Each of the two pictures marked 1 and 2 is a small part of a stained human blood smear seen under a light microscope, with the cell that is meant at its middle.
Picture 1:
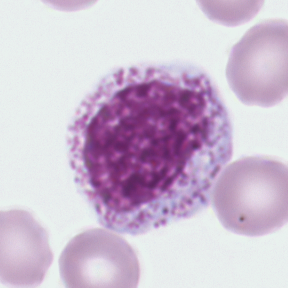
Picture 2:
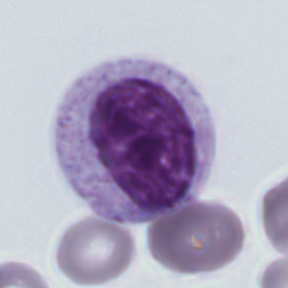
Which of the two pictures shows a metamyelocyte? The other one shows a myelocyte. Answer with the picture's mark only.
1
